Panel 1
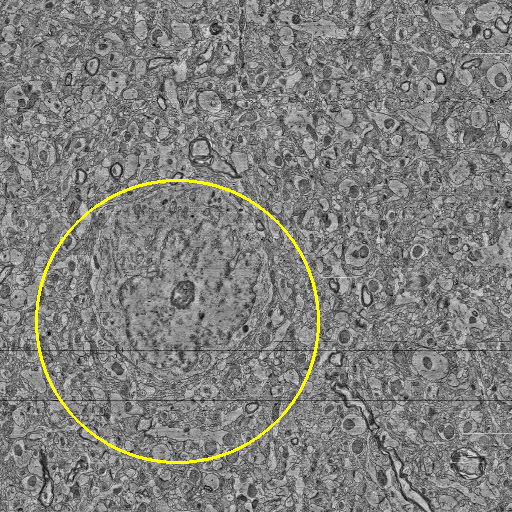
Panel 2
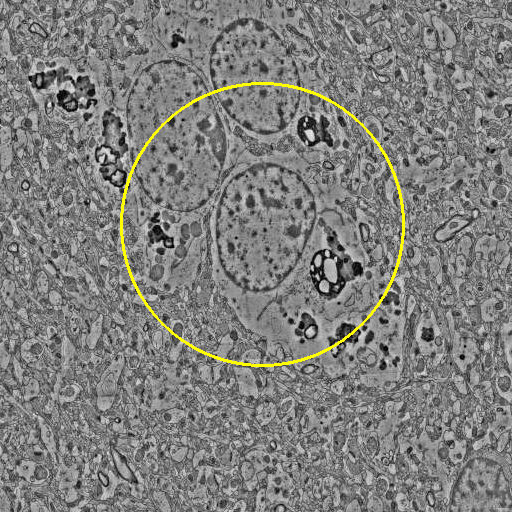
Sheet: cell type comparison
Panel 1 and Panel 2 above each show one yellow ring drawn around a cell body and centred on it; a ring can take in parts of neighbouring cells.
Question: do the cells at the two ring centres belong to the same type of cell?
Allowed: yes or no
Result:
no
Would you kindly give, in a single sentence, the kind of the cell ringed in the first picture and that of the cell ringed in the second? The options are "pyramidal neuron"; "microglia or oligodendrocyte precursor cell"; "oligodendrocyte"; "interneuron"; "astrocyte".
The second cell is an astrocyte, and the first cell is an interneuron.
